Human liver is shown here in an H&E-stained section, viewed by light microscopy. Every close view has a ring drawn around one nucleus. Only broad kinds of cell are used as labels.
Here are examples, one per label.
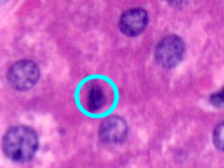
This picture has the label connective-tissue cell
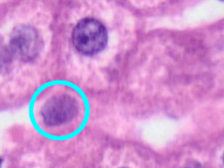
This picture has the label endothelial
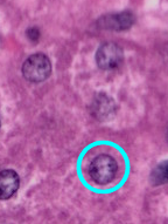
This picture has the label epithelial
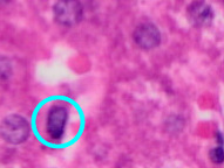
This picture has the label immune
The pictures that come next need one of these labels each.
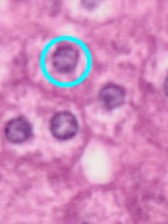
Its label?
epithelial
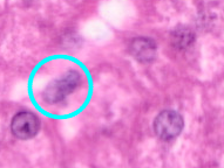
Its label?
immune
